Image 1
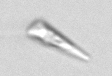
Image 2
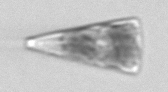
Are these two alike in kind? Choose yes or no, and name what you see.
Yes. Licmophora.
